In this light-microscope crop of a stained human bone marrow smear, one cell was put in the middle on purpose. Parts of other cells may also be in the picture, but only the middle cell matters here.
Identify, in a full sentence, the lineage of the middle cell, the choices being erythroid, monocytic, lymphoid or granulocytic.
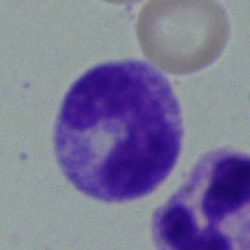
The cell at the center belongs, by lineage, to the granulocytic line.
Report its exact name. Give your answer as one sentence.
The cell under consideration, at the middle of the crop, is a band neutrophil.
